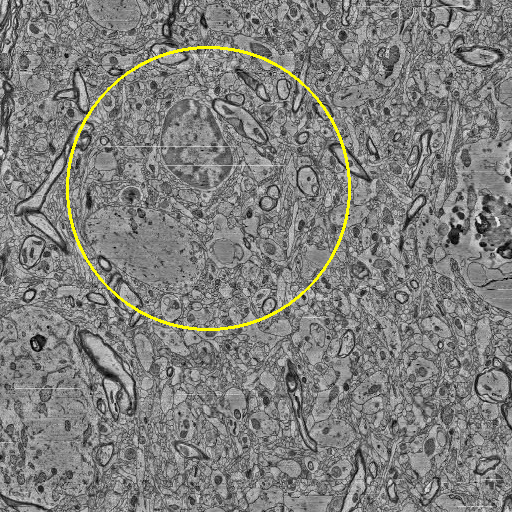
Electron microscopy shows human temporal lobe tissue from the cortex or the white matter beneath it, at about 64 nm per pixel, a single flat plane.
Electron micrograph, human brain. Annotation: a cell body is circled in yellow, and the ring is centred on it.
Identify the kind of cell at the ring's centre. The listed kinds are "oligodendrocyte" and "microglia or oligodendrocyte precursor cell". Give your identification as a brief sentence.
The circled cell body is that of a microglial cell or oligodendrocyte precursor cell.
